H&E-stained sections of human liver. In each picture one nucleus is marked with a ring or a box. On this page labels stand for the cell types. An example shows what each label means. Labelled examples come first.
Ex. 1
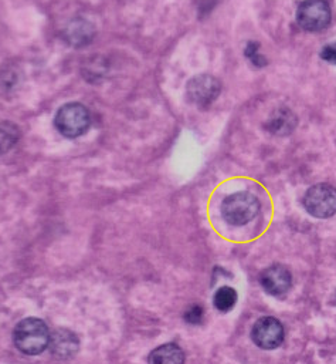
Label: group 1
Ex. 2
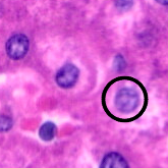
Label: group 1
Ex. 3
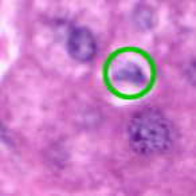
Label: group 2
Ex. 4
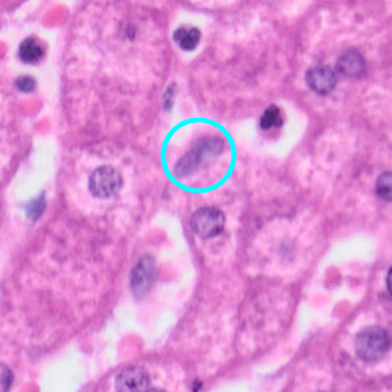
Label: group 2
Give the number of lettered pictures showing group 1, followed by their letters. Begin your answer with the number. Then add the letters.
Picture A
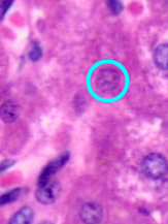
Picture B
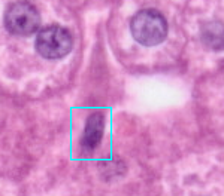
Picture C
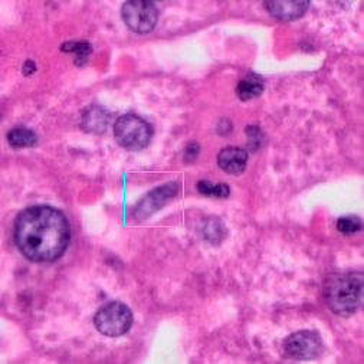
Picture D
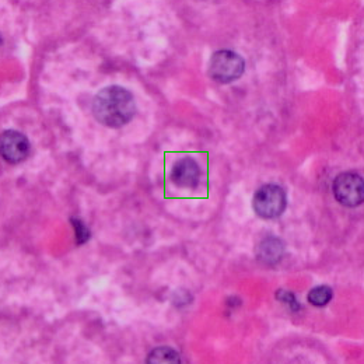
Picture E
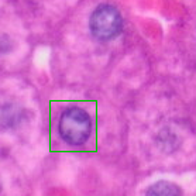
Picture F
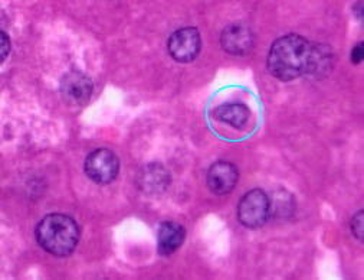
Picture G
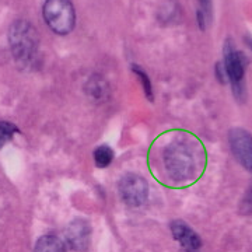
4: A, D, E, G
